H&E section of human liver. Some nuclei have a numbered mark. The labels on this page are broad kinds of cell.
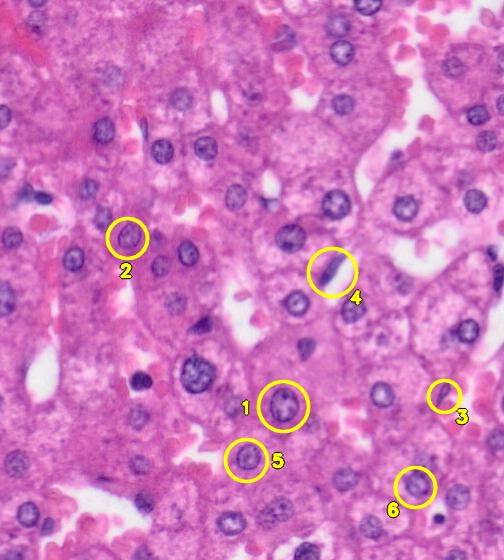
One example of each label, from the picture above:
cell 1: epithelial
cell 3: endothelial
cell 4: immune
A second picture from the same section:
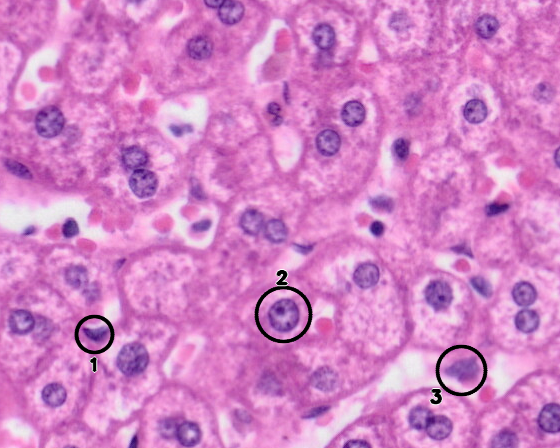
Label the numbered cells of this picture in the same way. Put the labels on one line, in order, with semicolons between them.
endothelial; epithelial; immune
